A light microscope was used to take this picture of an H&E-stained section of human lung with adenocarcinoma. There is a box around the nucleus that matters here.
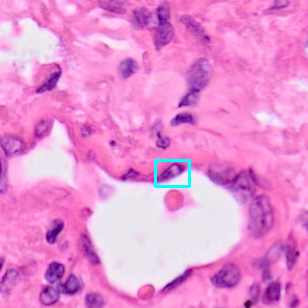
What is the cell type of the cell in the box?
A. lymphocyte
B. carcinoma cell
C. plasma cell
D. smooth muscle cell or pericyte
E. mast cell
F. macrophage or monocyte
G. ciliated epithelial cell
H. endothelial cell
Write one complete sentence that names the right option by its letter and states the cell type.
The right pick is option H; the cell in the box is an endothelial cell.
